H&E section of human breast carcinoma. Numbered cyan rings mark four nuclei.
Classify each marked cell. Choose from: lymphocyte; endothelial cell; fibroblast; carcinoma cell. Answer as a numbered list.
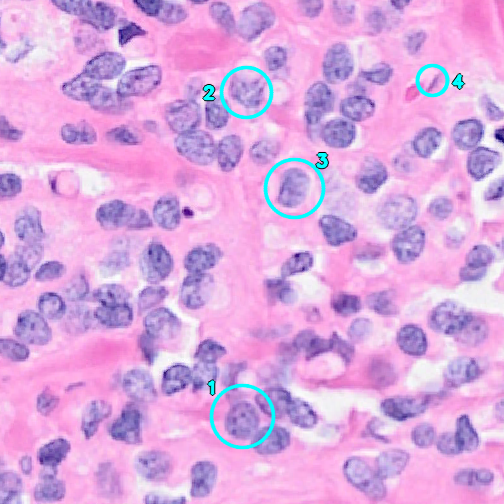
1. carcinoma cell
2. carcinoma cell
3. carcinoma cell
4. endothelial cell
